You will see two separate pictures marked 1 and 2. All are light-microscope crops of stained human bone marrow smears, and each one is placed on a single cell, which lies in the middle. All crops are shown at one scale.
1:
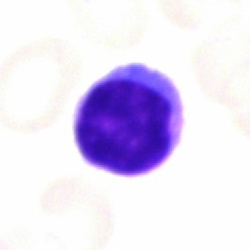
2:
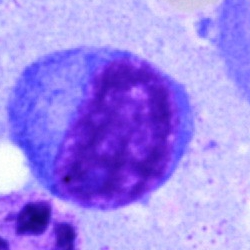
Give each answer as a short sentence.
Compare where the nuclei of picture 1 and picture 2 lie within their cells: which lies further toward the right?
Seen within its cell, the nucleus in picture 2 lies further toward the right.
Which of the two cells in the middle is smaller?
The cell in picture 1 is smaller; the one in picture 2 has about 2.5 times its area.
